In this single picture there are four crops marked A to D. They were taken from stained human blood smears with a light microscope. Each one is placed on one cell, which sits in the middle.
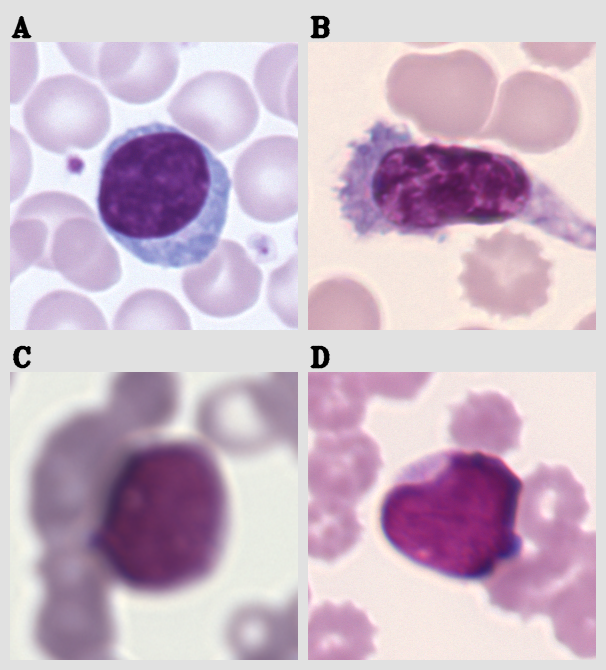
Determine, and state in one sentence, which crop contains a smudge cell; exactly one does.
On review of the set, crop C is the one showing a smudge cell.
